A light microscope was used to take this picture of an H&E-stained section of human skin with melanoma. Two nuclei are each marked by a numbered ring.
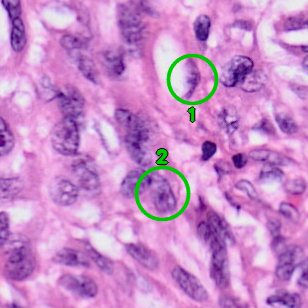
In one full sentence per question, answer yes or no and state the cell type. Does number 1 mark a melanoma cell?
No, the cell carrying number 1 is an endothelial cell, not a melanoma cell.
